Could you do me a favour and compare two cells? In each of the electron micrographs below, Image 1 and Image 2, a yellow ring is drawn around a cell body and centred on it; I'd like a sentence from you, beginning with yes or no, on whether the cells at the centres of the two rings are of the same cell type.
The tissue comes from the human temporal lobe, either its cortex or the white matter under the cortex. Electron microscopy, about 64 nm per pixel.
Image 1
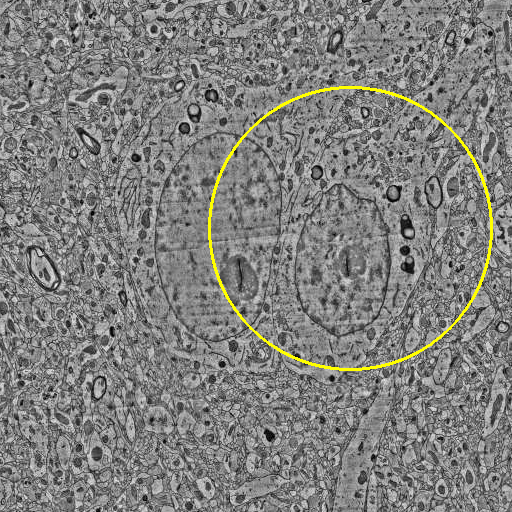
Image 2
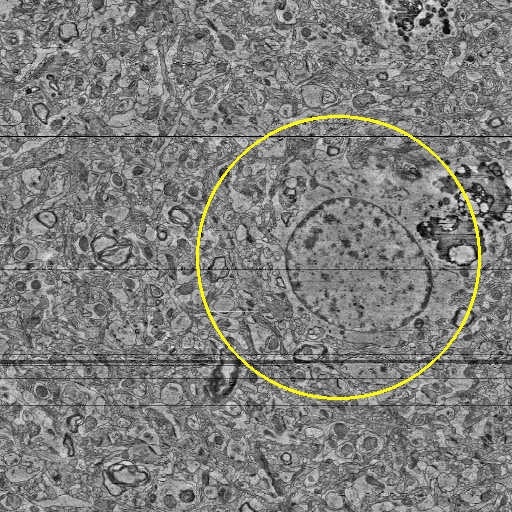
No, the two cells are of two cell types.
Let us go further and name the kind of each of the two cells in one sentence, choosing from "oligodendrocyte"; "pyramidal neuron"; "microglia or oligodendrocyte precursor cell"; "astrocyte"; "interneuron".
The ring of the first picture is on a pyramidal neuron, the ring of the second on an astrocyte.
